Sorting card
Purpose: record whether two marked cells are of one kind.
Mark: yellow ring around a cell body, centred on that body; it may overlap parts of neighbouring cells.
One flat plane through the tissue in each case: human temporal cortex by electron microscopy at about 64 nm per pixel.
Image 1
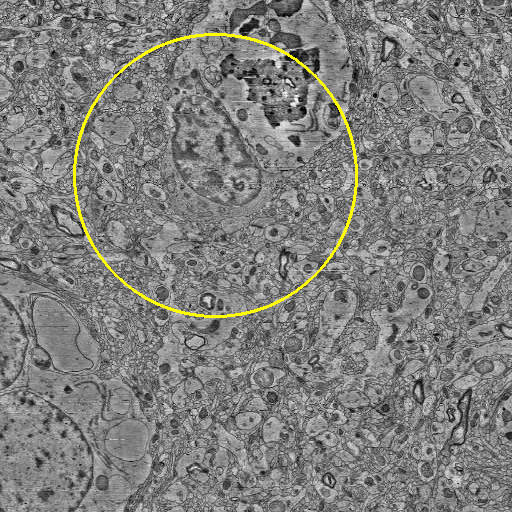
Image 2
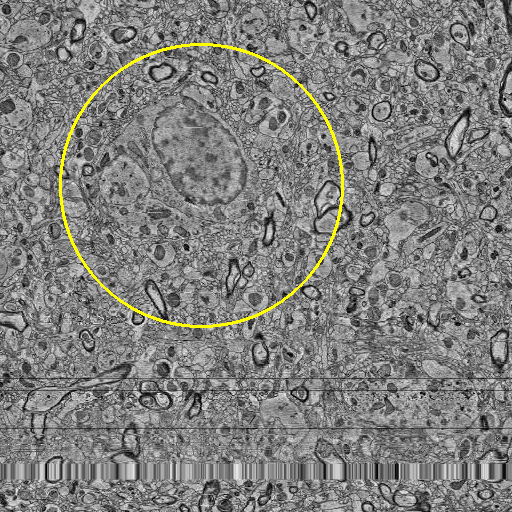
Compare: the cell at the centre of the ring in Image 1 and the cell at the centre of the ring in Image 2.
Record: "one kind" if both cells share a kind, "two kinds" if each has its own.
one kind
